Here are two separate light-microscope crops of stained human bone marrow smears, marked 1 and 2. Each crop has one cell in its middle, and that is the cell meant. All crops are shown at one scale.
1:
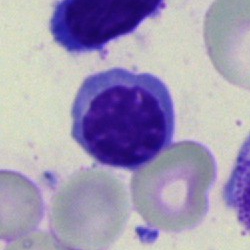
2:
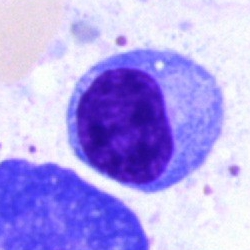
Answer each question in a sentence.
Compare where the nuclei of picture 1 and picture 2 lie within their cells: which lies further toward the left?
In picture 2 the nucleus is shifted more toward the left.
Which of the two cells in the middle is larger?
The cell in picture 2 is larger, with about 2 times the area of the one in picture 1.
